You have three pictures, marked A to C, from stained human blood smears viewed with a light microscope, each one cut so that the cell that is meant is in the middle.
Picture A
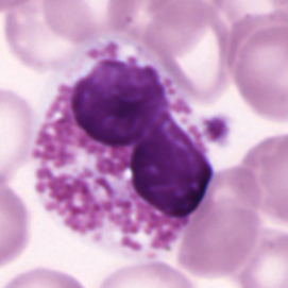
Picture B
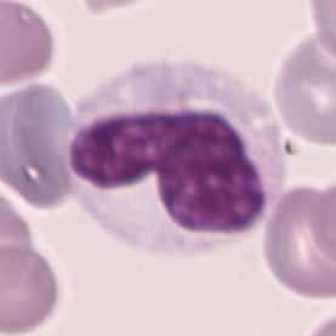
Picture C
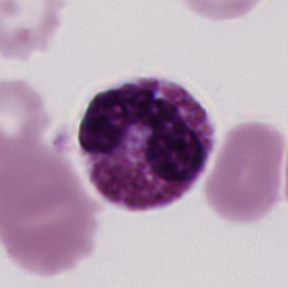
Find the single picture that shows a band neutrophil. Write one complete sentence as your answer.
It is picture B that shows the band neutrophil.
